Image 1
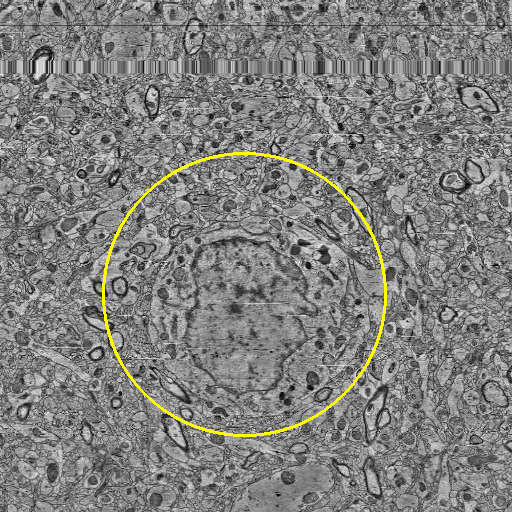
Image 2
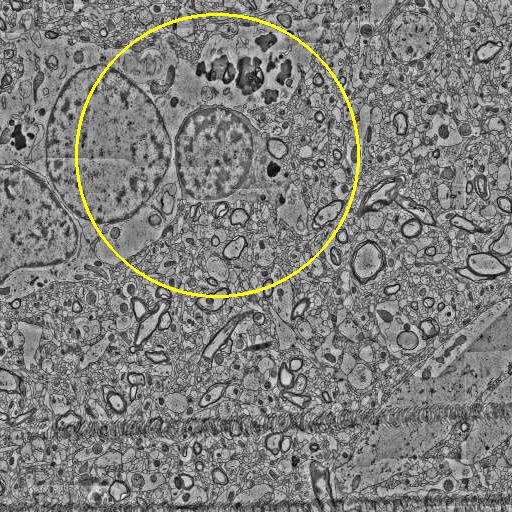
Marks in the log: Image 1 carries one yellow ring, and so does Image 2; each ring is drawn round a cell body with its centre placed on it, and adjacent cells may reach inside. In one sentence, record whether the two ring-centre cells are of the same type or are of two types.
The two cells at the ring centres, one in each image, are of two types.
